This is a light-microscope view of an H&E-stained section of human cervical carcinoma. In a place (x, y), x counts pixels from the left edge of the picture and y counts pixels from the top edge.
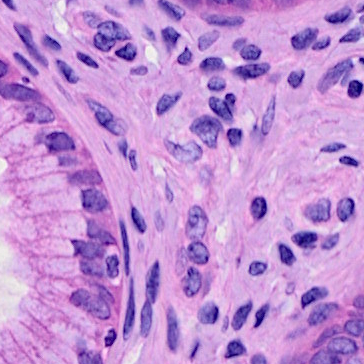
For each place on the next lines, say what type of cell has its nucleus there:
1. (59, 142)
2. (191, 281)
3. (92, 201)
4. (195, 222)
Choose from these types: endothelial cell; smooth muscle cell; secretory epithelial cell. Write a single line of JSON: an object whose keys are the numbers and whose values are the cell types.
{"1": "secretory epithelial cell", "2": "endothelial cell", "3": "secretory epithelial cell", "4": "endothelial cell"}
